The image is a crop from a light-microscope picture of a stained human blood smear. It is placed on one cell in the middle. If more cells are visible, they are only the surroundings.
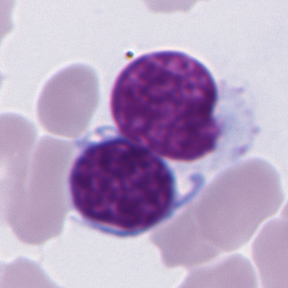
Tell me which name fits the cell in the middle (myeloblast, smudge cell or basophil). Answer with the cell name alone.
myeloblast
